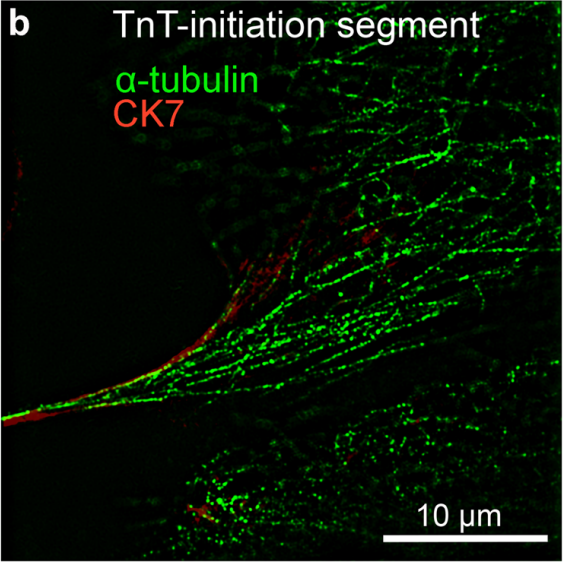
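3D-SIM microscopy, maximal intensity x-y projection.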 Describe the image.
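Many fine, beaded green filaments run across the cell body and converge into a tapering bundle that enters the tube. A narrow red band runs along the upper side of the converging green bundle and continues into the tube. The rest of the cell body at lower right holds a looser, more dotted green network, and the background outside the cell is dark.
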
